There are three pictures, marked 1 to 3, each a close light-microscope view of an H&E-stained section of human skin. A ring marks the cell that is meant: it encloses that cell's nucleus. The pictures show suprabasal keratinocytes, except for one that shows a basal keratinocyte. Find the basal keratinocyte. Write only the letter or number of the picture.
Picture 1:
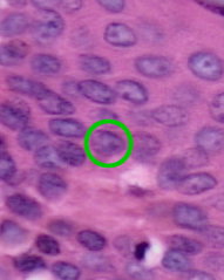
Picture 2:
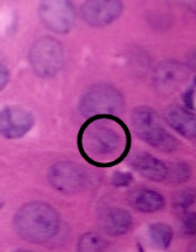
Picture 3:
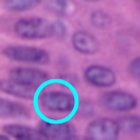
1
